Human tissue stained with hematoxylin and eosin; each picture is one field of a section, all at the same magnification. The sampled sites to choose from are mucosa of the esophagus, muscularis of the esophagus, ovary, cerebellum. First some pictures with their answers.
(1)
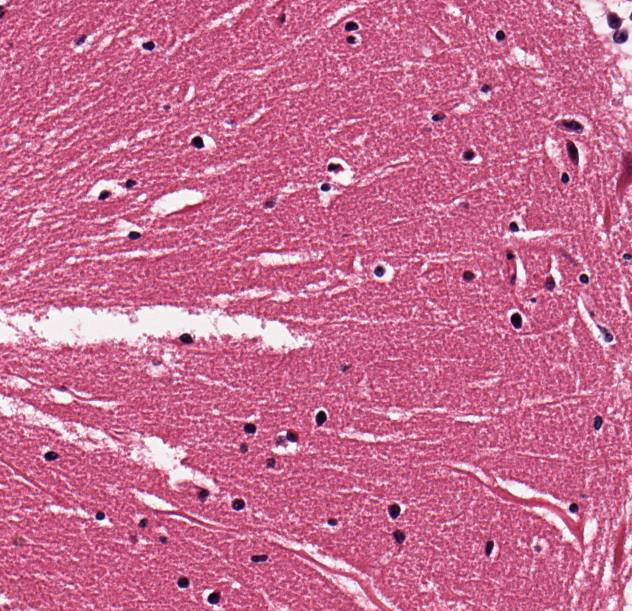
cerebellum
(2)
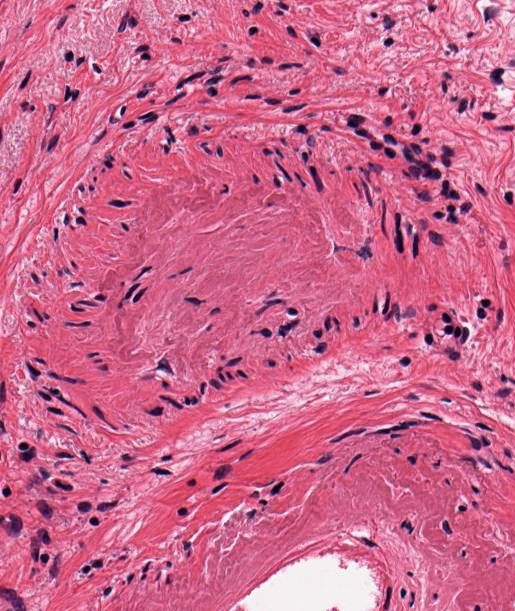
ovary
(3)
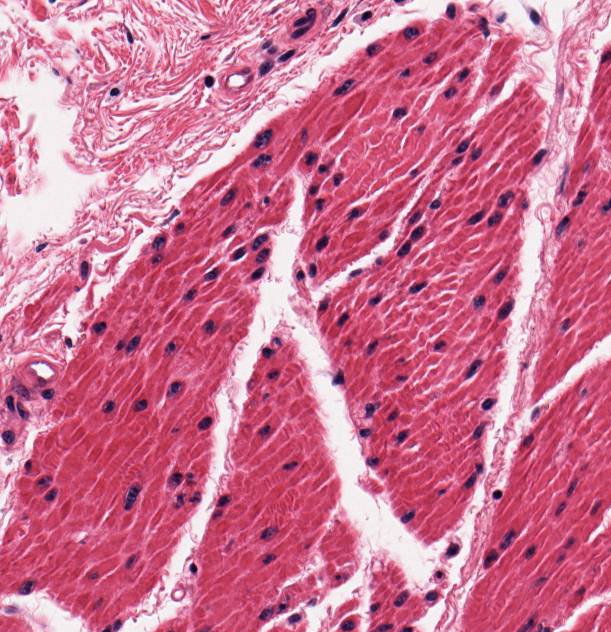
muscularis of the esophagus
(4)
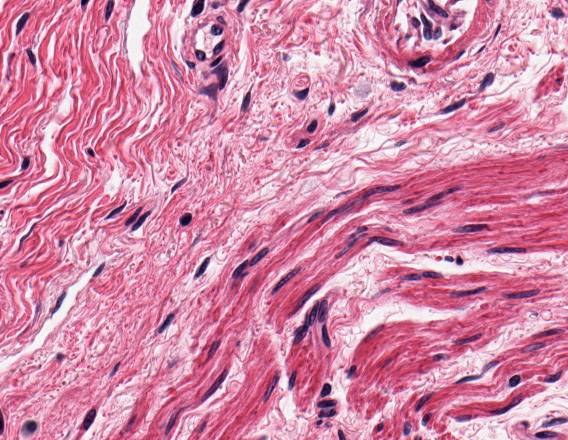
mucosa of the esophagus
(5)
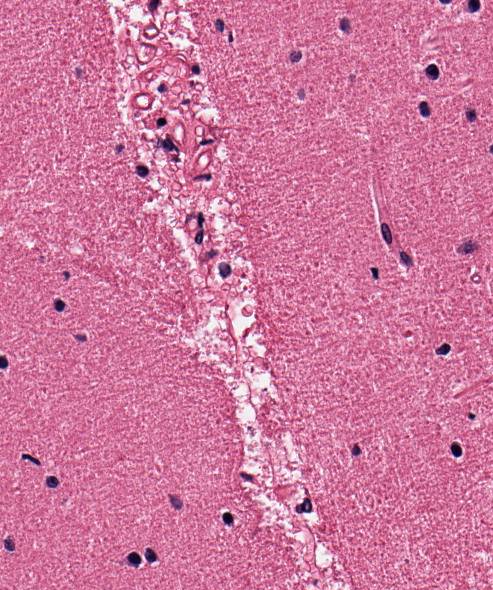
cerebellum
